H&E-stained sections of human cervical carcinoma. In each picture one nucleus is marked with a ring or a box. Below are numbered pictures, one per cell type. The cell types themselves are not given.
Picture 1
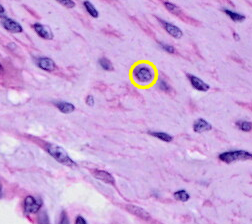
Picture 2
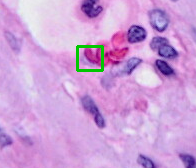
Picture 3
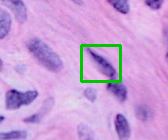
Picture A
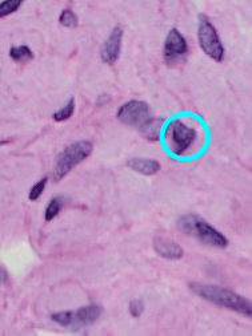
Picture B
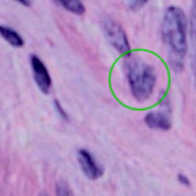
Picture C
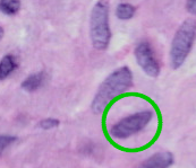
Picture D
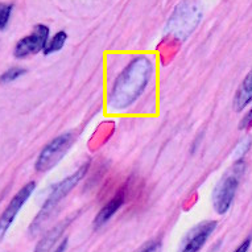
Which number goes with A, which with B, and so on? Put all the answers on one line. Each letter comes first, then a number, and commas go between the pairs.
A 3, B 1, C 3, D 2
